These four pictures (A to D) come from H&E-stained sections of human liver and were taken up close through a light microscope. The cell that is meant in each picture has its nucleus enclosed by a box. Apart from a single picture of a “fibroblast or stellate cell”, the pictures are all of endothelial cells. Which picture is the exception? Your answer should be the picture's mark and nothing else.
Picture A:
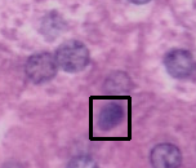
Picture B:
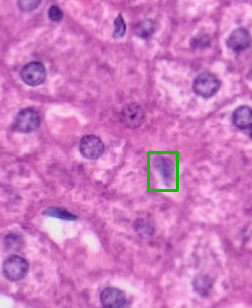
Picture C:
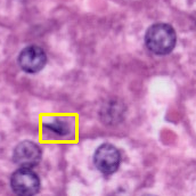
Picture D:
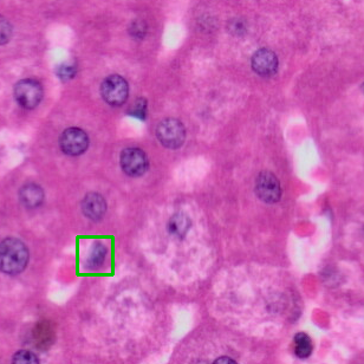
A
